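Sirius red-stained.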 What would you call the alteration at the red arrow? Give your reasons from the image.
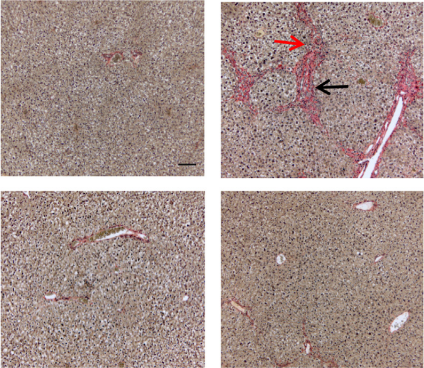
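Portal inflammation. In the upper right image, the red arrow points to a red-stained portal area. Small dark nuclei cluster in the region the red arrow marks.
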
